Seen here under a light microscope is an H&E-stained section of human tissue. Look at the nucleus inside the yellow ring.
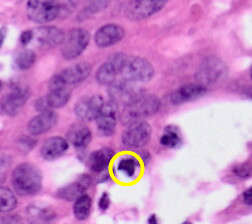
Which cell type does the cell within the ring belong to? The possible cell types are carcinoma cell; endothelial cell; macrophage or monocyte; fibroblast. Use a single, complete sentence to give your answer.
Within the stained tissue, the cell within the ring is a carcinoma cell.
